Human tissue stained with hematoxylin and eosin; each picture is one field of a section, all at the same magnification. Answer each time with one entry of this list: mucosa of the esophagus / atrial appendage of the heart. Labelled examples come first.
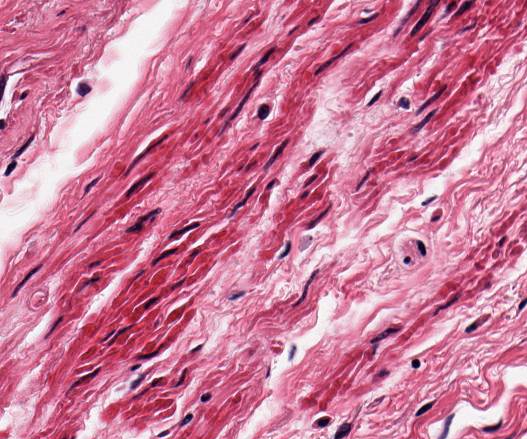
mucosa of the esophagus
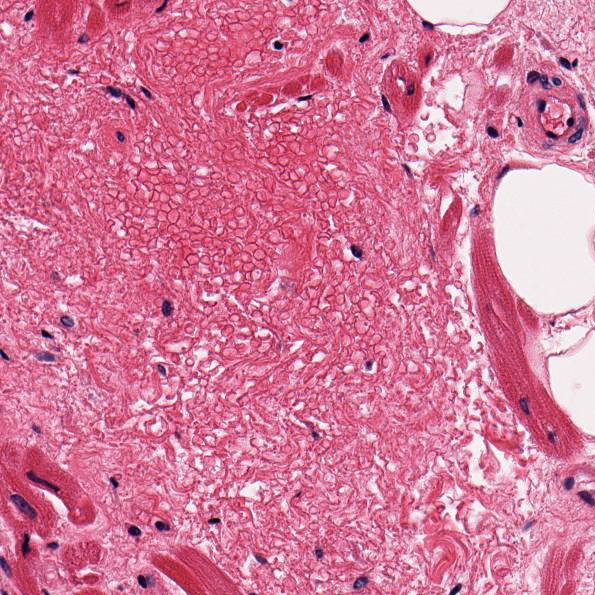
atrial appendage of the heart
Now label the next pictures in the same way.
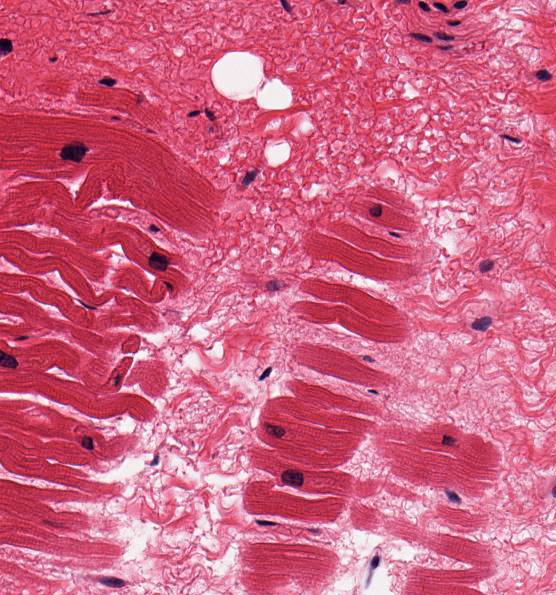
atrial appendage of the heart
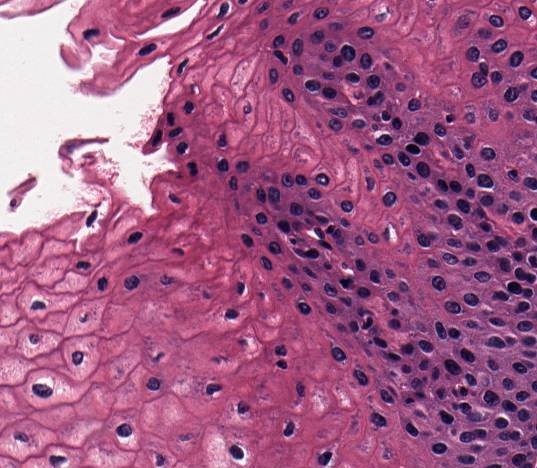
mucosa of the esophagus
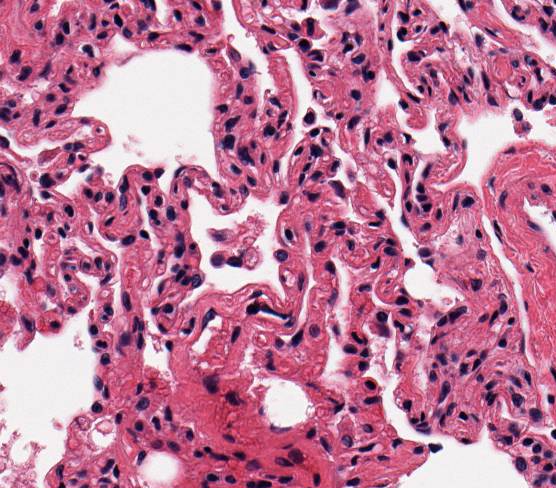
atrial appendage of the heart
